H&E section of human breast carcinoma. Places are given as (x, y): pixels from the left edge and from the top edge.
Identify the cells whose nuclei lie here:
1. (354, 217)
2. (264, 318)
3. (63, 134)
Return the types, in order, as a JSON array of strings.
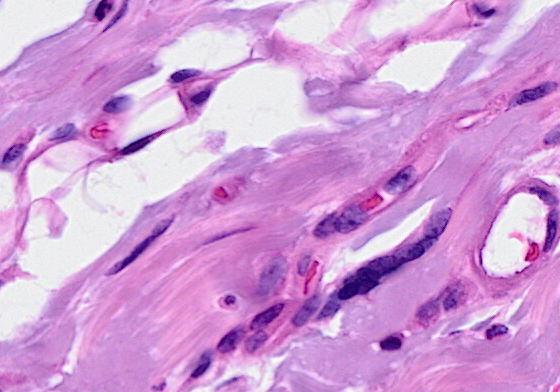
["endothelial cell", "endothelial cell", "fibroblast"]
